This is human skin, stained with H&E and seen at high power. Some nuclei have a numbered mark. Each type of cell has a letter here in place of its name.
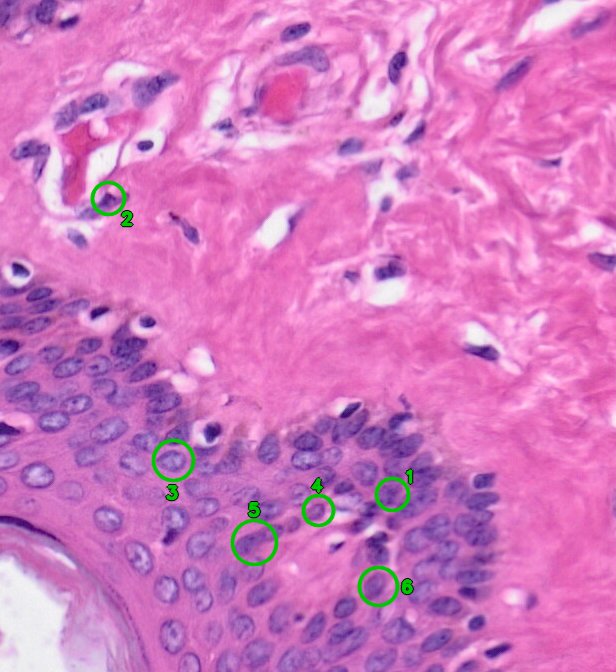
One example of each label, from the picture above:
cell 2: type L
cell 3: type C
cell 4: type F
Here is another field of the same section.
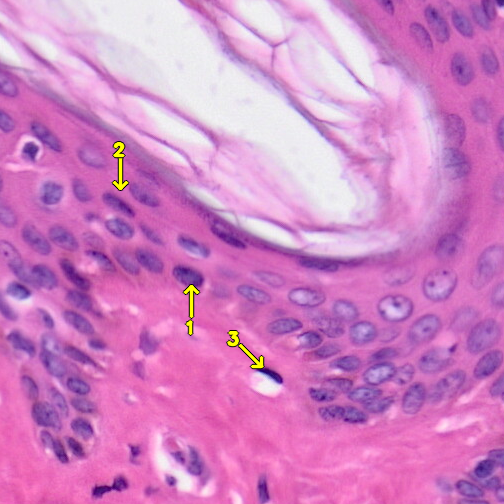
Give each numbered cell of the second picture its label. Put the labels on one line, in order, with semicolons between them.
type F; type C; type L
